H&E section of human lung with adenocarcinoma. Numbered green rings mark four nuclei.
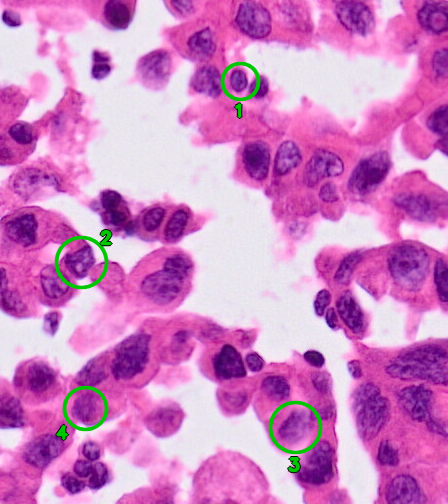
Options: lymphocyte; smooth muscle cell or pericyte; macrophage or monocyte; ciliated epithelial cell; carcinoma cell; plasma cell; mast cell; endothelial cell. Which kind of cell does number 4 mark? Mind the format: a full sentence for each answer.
The cell with the number 4 is a carcinoma cell.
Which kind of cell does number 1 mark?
The cell that bears the number 1 is a lymphocyte.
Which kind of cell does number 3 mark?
At number 3, the marked cell is a carcinoma cell.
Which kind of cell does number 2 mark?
The cell that goes by number 2 is a carcinoma cell.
